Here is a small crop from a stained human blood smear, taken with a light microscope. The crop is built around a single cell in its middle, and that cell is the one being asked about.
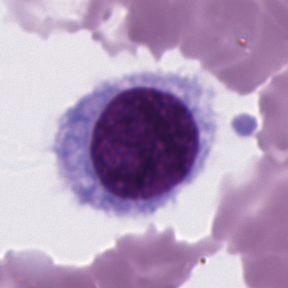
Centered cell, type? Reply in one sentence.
The cell sitting right in the middle is a hairy cell.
